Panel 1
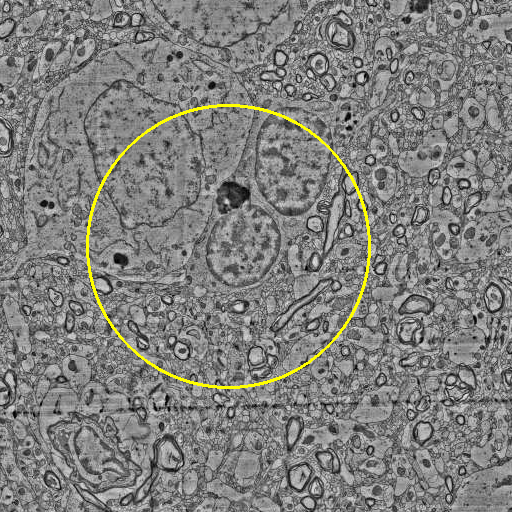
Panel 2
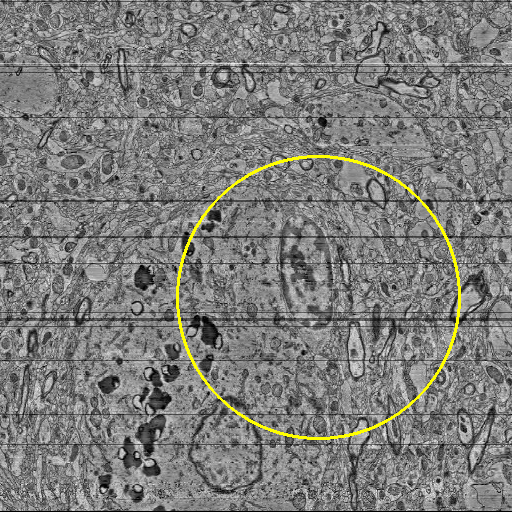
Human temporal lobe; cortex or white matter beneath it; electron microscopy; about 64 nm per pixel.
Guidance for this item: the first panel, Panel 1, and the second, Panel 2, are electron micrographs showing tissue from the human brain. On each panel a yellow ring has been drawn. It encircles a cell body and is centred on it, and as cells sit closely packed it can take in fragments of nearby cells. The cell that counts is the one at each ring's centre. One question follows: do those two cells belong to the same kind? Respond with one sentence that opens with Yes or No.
No, the cells at the ring centres in Panel 1 and Panel 2 are of two kinds.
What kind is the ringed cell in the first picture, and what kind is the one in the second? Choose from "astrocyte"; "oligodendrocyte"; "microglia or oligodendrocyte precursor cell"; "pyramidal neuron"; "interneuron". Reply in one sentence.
The first cell is an oligodendrocyte; the second is a microglial cell or oligodendrocyte precursor cell.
